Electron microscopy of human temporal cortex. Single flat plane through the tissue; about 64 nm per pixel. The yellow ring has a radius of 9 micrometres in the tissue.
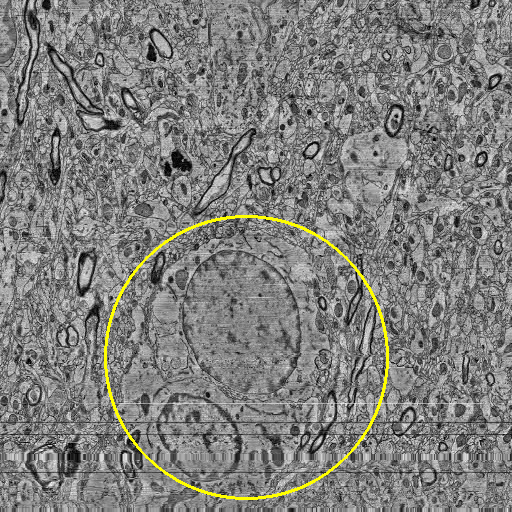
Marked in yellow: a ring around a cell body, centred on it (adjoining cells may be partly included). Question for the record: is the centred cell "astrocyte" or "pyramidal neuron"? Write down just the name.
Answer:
astrocyte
